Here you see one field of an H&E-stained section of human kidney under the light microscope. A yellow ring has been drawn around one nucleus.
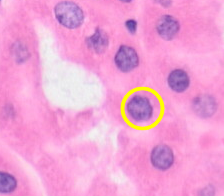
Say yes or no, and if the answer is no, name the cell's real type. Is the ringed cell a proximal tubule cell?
Yes.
